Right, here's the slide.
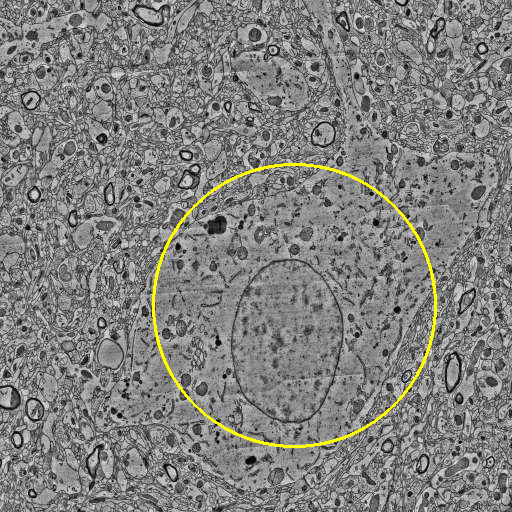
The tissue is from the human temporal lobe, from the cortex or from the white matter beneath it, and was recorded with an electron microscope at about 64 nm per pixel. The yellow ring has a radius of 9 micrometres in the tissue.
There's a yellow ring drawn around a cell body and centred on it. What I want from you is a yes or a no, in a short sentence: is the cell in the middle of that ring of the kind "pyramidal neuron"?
Yes, it's of that kind.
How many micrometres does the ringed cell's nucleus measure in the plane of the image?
The nucleus has a long axis of about 10 micrometres and a short axis of about 7 micrometres in this plane.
